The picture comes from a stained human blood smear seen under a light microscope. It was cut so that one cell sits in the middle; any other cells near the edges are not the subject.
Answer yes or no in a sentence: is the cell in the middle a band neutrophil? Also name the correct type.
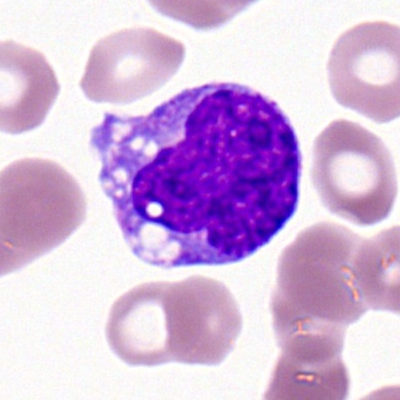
No, the central cell is not a band neutrophil; it is a monocyte instead.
